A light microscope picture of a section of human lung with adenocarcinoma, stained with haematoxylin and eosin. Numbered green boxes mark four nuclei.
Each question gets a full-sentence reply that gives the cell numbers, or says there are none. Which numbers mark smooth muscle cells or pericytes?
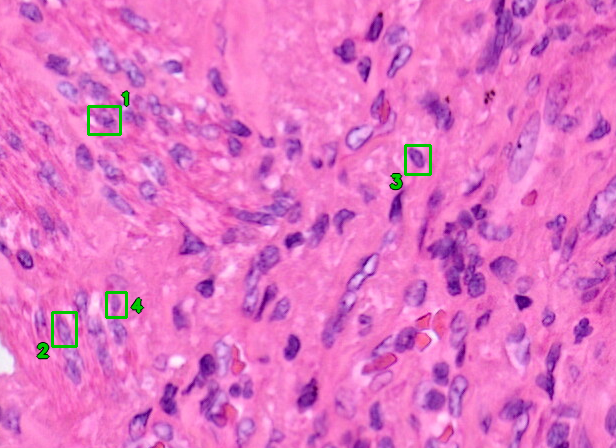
The cells with the number labels 1, 2 and 4 are smooth muscle cells or pericytes.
